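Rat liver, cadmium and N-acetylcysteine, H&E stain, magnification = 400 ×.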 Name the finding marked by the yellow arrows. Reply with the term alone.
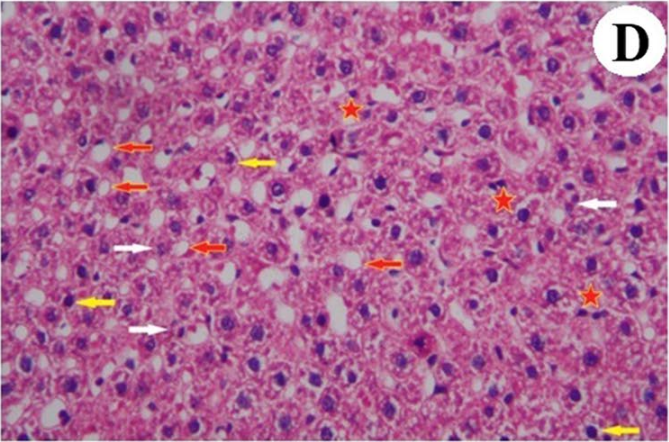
Pyknotic nuclei.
